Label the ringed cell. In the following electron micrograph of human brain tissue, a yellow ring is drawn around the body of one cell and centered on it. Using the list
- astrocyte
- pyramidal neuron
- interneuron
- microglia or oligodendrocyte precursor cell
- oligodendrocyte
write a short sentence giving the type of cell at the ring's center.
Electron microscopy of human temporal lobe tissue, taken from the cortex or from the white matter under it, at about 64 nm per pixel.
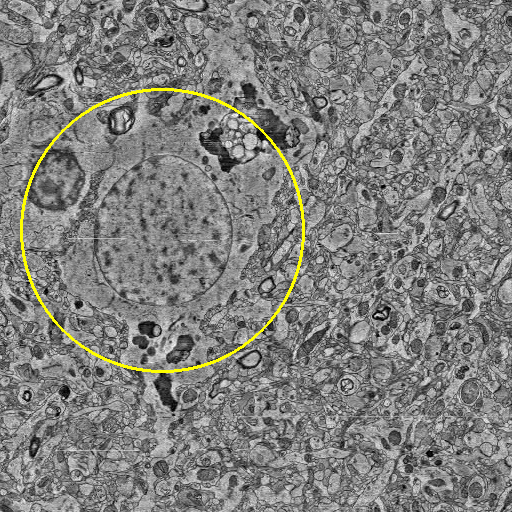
The cell body at the ring's center is that of an astrocyte.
